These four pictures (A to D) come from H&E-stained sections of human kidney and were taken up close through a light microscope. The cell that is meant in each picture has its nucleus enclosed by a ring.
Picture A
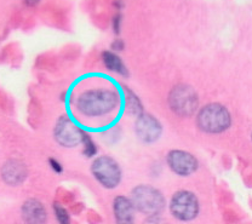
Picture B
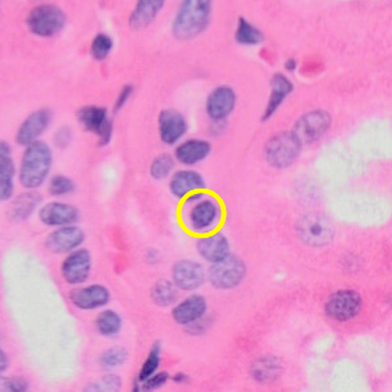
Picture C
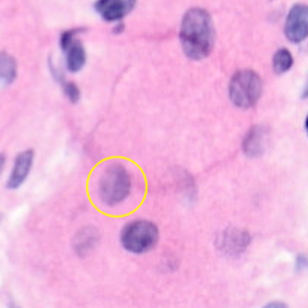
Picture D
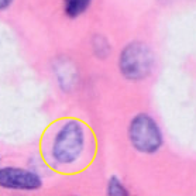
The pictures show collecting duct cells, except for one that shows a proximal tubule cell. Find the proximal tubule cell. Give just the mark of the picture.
C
